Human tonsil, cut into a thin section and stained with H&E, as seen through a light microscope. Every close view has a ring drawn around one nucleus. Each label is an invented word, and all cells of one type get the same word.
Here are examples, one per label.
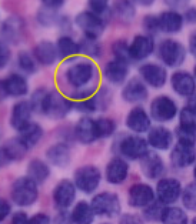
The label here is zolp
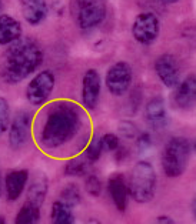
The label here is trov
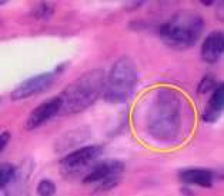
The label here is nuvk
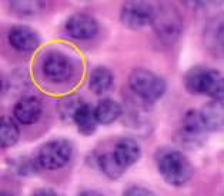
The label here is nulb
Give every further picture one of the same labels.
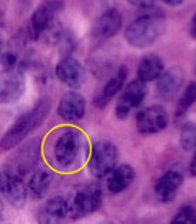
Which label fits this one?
nulb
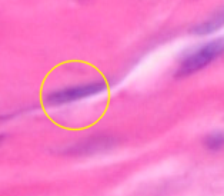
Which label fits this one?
nuvk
